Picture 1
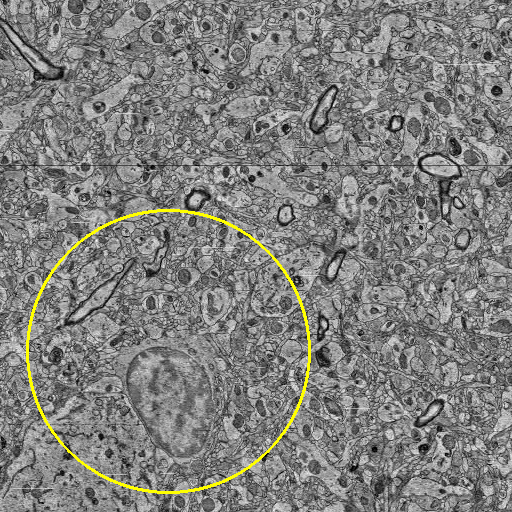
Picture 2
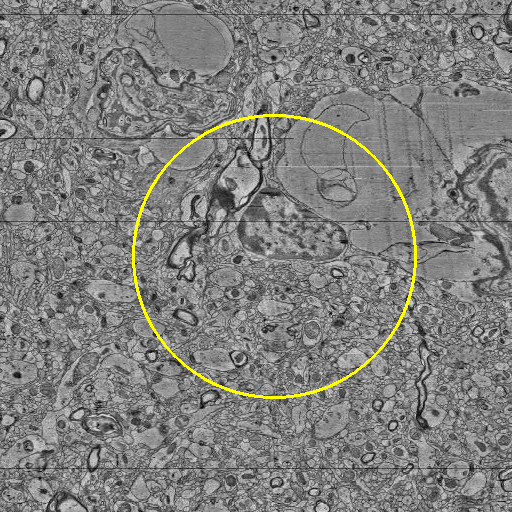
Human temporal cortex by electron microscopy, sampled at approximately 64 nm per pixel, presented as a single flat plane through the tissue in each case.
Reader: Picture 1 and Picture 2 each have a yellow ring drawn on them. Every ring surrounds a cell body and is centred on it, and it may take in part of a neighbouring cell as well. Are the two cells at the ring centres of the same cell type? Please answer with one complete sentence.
No, the cells are of two cell types.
